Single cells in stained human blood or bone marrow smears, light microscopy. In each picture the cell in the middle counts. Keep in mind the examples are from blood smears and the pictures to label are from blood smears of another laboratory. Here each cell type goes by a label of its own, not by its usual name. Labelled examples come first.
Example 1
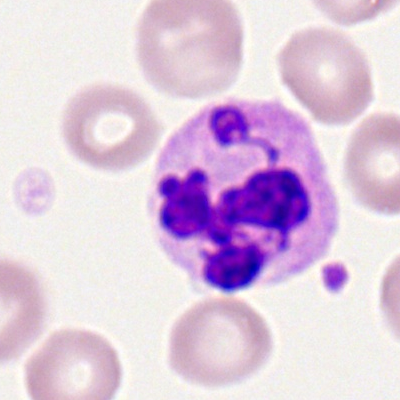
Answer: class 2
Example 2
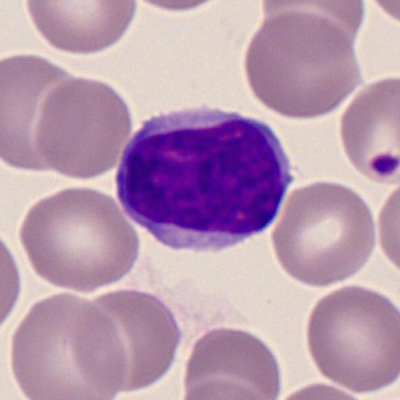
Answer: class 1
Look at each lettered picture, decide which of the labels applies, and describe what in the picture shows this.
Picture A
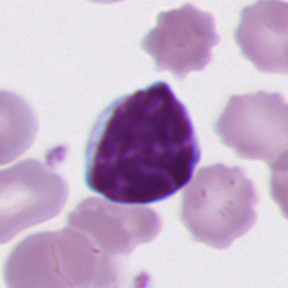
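class 1. Cytoplasm is very scant, showing only as a thin pale crescent along the left edge of the cell.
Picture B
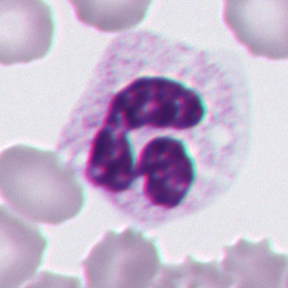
class 2. The nucleus is divided into three lobes.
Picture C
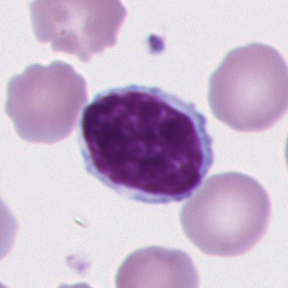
class 1. The cytoplasm forms a thin pale grey-blue rim around the nucleus.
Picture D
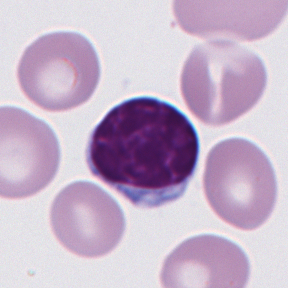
class 1. The nucleus fills most of the cell, leaving only scant cytoplasm.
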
